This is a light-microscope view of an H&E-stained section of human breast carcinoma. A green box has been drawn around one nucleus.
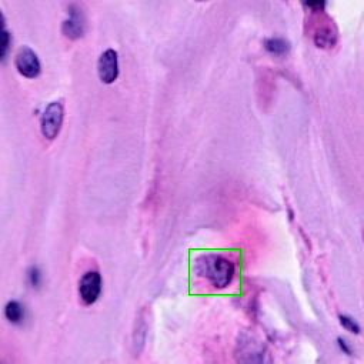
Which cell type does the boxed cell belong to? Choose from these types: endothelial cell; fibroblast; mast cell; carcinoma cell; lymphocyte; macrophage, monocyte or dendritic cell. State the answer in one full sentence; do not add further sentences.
In this section, the boxed cell is a mast cell.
